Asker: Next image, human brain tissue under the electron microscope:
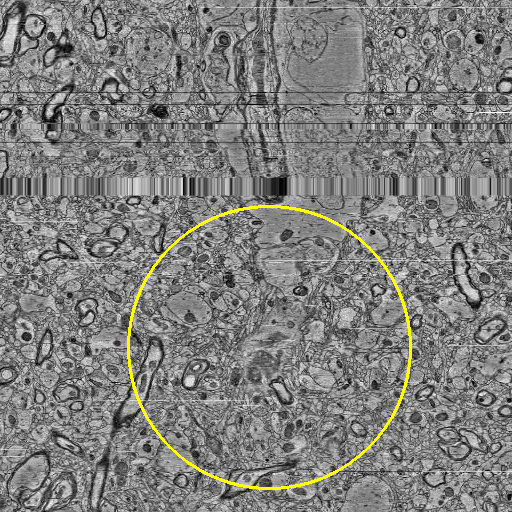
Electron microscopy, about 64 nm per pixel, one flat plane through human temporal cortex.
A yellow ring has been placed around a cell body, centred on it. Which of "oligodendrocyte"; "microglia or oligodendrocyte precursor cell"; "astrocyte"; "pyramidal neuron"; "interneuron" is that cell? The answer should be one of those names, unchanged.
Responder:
oligodendrocyte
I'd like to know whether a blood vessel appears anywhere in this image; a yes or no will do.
Yes, the picture includes a blood vessel.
